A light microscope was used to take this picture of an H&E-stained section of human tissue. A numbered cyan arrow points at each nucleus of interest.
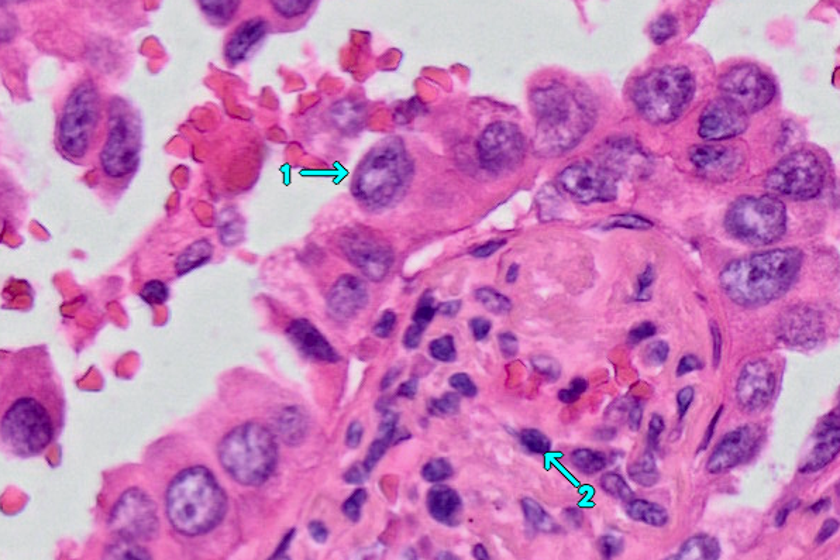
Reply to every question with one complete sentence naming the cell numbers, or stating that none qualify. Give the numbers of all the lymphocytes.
A single numbered cell, cell 2, is a lymphocyte.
